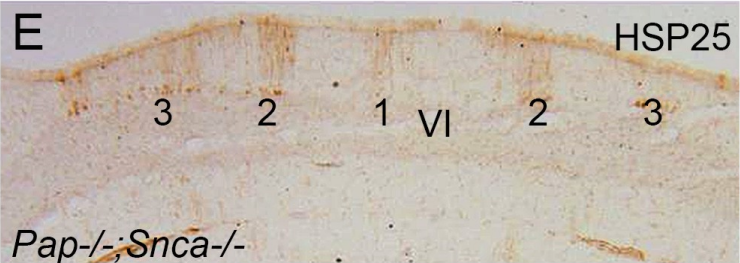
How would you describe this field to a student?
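A transverse section across a cerebellar lobule shows narrow brown bands crossing the outer layer from the surface downward, separated by wider pale regions. The bands contain thin vertical brown processes with small brown dots near their inner ends where Purkinje cell bodies lie.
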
